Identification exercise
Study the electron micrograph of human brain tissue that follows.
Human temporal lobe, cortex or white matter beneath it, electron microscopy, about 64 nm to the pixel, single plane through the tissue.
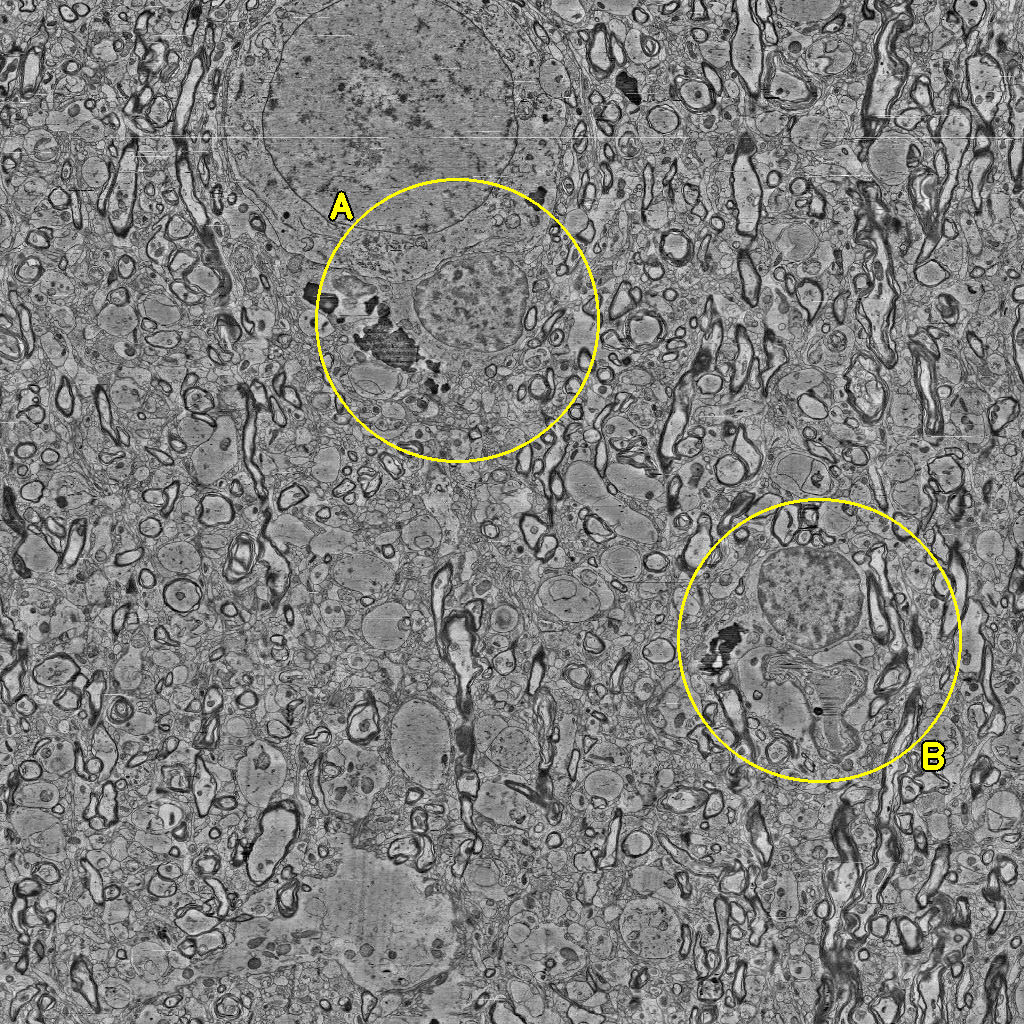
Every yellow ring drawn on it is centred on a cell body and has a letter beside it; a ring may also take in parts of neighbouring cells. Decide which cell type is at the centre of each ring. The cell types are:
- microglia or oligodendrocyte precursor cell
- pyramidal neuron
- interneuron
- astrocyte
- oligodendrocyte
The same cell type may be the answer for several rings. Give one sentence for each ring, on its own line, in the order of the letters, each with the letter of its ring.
Ring A encircles an oligodendrocyte.
Ring B encircles an oligodendrocyte.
